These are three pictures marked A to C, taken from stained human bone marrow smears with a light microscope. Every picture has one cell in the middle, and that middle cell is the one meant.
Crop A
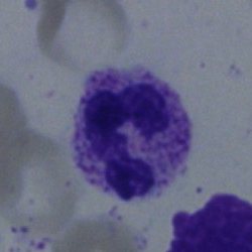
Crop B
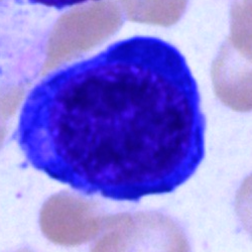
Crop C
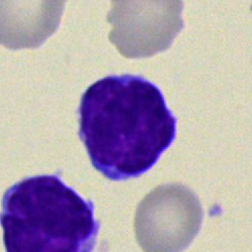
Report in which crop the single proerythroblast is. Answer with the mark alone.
B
